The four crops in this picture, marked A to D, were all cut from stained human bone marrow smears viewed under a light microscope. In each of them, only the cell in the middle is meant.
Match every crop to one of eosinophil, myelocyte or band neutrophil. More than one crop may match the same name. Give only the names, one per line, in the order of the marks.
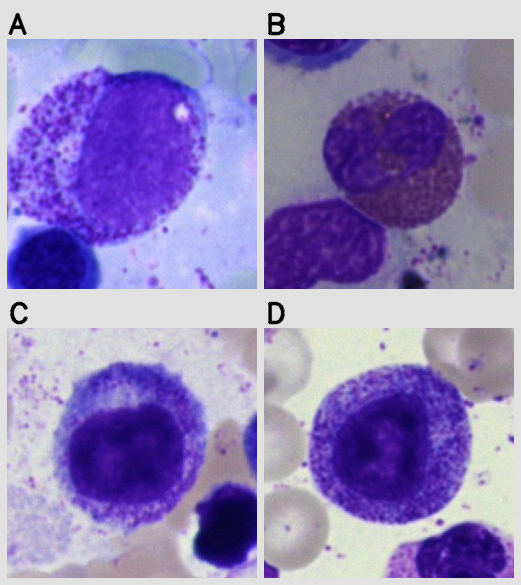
myelocyte
eosinophil
myelocyte
myelocyte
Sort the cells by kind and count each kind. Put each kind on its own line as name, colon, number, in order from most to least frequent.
myelocyte: 3
eosinophil: 1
